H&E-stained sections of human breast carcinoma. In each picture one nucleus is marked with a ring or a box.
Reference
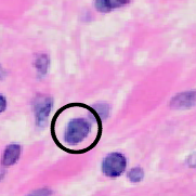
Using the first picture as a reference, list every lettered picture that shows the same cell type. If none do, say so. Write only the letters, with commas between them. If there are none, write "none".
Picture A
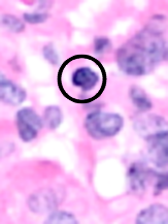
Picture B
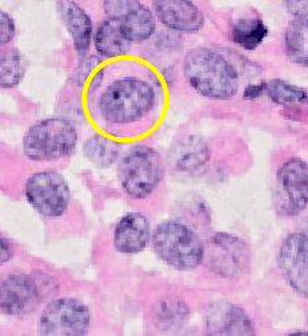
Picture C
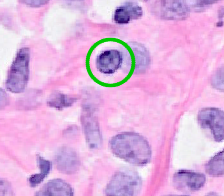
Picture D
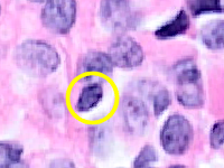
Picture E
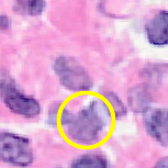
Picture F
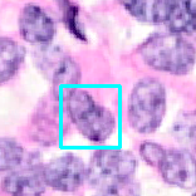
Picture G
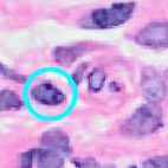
A, C, D, G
